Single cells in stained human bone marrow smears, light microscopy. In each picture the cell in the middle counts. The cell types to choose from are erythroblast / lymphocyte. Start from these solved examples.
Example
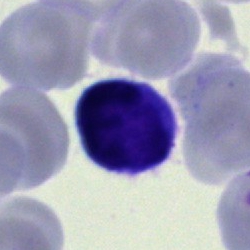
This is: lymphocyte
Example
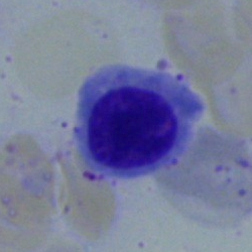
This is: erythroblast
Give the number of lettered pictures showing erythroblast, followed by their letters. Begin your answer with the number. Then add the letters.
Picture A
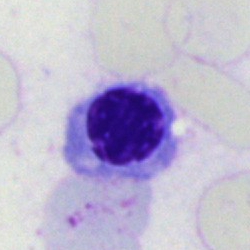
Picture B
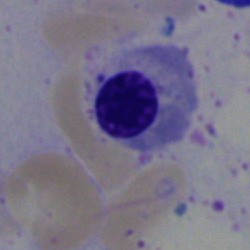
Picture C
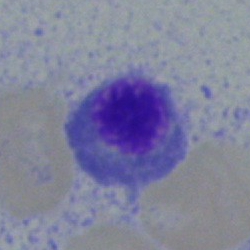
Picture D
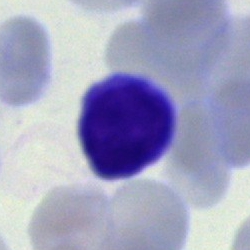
3: A, B, C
